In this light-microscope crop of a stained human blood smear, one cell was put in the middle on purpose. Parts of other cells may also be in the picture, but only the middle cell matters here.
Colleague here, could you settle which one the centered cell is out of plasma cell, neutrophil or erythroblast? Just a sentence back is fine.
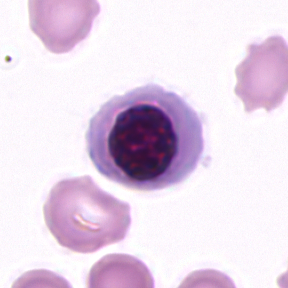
As for the central cell, it is an erythroblast.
